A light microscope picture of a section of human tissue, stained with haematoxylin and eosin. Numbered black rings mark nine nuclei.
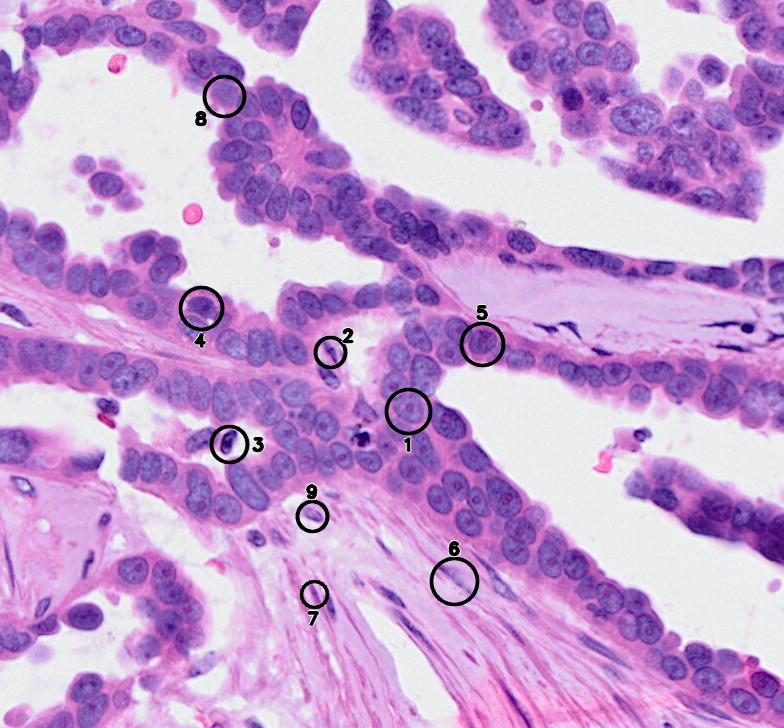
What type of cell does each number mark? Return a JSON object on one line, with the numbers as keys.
{"1": "carcinoma cell", "2": "fibroblast", "3": "lymphocyte", "4": "carcinoma cell", "5": "carcinoma cell", "6": "fibroblast", "7": "fibroblast", "8": "carcinoma cell", "9": "fibroblast"}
